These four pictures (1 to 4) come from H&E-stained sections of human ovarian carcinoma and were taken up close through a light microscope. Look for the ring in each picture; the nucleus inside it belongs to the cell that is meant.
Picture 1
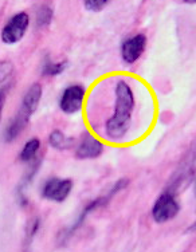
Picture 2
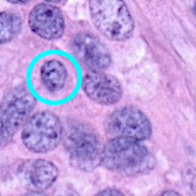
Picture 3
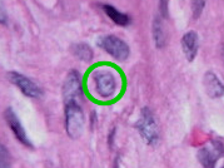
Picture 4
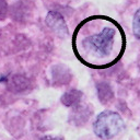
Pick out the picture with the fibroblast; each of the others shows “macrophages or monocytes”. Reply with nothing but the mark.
3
